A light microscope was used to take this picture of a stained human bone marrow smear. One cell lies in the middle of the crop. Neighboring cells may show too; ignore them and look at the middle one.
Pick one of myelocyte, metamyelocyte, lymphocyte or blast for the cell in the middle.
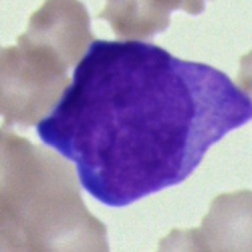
blast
